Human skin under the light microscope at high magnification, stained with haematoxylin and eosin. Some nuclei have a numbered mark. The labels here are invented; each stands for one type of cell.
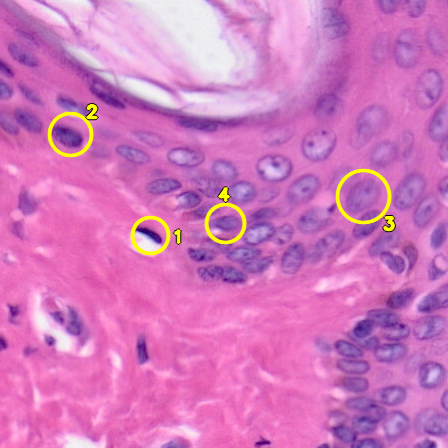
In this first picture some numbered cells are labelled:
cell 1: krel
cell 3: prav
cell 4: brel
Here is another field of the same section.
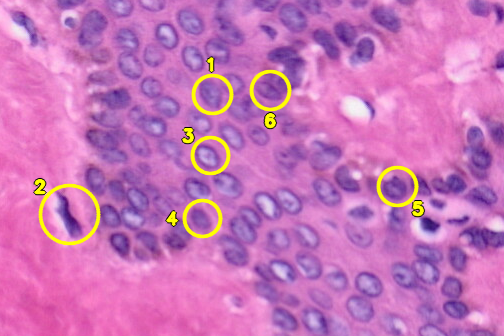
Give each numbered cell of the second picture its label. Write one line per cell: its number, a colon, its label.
1: prav
2: krel
3: prav
4: brel
5: brel
6: brel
